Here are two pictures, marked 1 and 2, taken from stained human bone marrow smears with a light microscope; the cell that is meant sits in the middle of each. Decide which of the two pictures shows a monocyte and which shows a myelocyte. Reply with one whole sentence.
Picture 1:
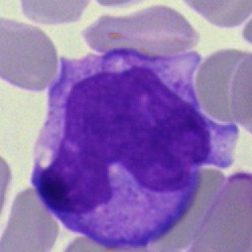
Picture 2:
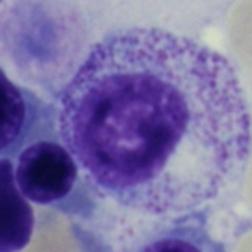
The cell in picture 1 is a monocyte, and the one in picture 2 is a myelocyte.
